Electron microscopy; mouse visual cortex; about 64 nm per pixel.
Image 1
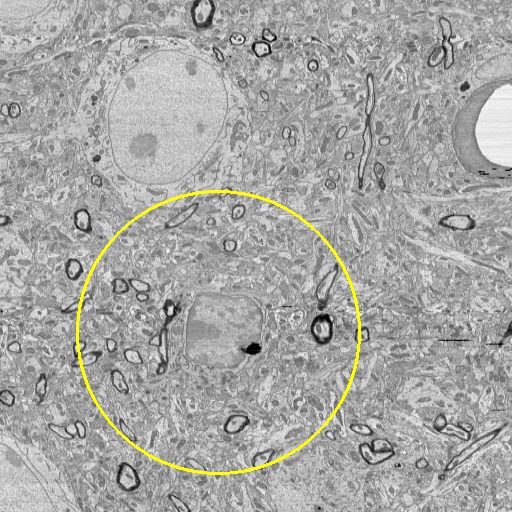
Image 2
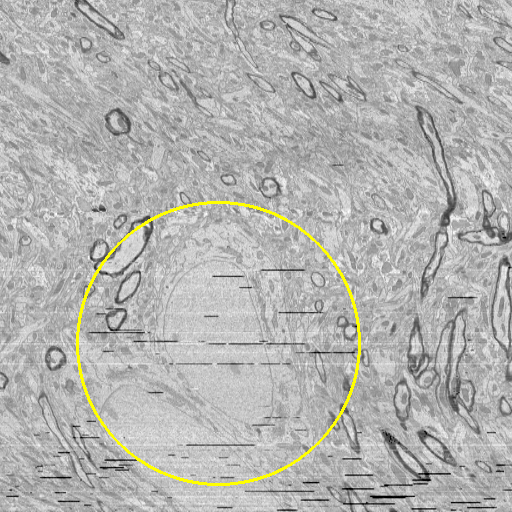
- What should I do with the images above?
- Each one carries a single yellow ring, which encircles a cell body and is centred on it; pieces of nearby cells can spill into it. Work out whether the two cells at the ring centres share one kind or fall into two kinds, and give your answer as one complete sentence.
The ring-centre cells of Image 1 and Image 2 fall into two kinds.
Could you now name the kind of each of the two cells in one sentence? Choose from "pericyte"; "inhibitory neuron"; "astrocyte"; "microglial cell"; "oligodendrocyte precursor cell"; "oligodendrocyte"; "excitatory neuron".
The first ring encloses a microglial cell; the second ring encloses an excitatory neuron.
